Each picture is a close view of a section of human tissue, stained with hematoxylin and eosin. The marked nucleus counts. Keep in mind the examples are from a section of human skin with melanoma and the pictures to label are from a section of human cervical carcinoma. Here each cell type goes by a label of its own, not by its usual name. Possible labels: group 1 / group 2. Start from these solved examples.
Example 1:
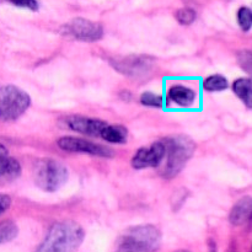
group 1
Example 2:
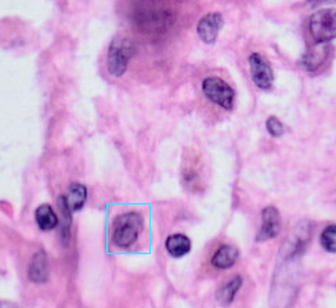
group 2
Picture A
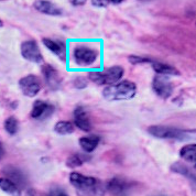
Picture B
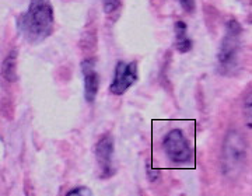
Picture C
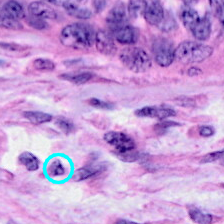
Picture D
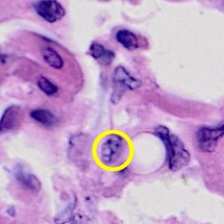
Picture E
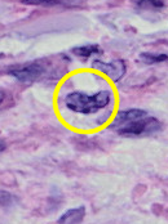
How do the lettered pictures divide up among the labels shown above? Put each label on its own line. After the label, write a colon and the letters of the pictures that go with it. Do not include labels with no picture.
group 1: A, C, E
group 2: B, D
